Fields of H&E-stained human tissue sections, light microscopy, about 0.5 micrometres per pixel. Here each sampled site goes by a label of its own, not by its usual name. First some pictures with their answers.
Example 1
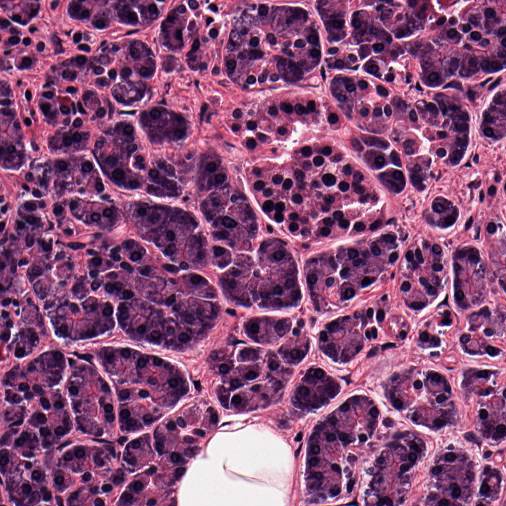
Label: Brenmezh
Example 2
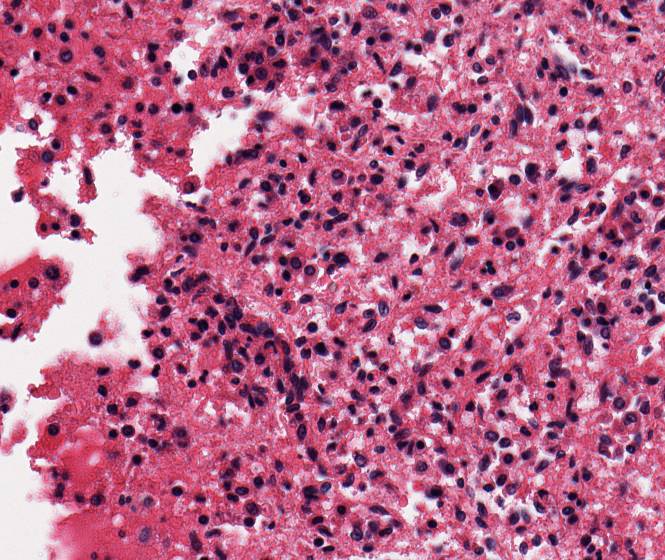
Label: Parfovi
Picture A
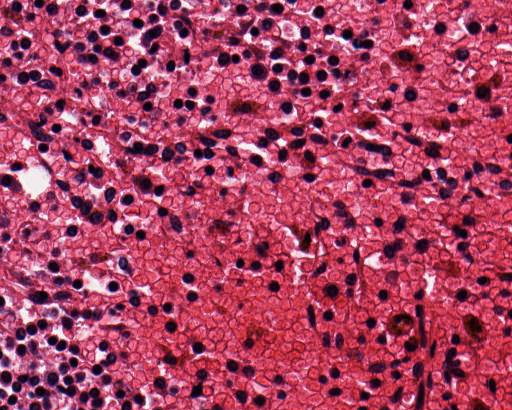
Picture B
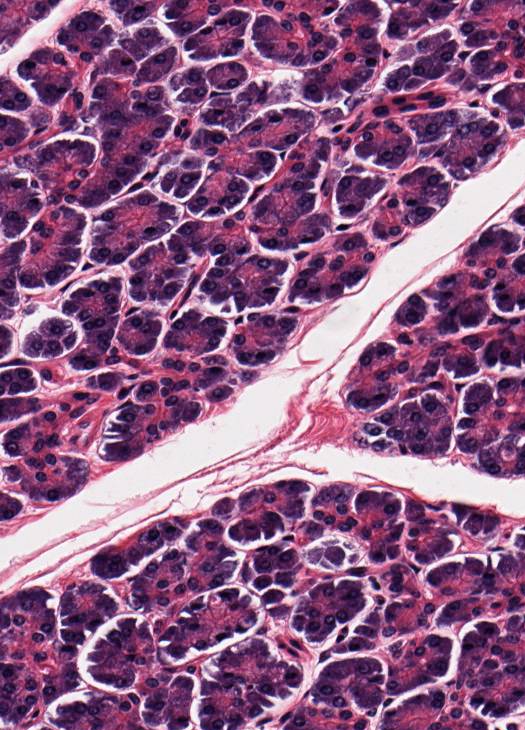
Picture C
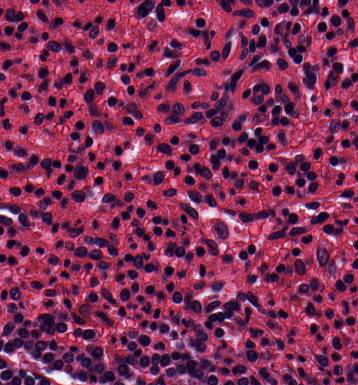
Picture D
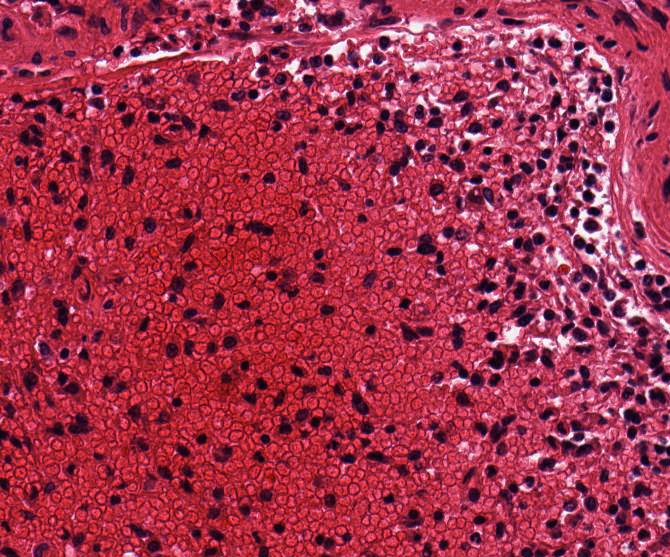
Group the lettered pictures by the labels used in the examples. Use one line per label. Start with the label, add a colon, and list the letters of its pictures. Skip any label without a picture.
Brenmezh: B
Parfovi: A, C, D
